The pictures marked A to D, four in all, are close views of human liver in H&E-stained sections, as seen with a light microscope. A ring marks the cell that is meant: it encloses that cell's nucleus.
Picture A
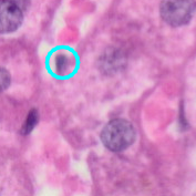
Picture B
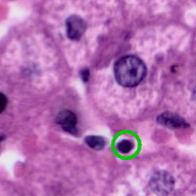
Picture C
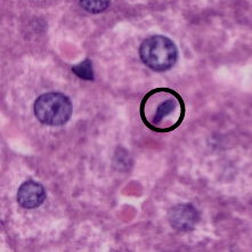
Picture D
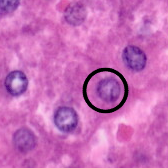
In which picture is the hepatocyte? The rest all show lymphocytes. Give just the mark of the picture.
D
